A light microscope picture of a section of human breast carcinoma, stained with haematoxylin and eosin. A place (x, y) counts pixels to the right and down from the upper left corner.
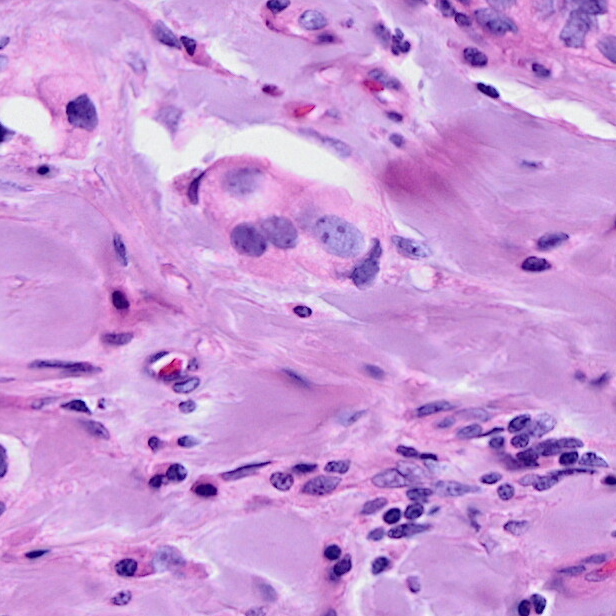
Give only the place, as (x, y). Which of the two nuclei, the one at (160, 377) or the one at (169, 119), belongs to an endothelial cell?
(160, 377)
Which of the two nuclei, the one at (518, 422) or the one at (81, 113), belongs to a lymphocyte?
(518, 422)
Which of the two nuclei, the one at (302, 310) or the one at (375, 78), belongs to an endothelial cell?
(375, 78)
